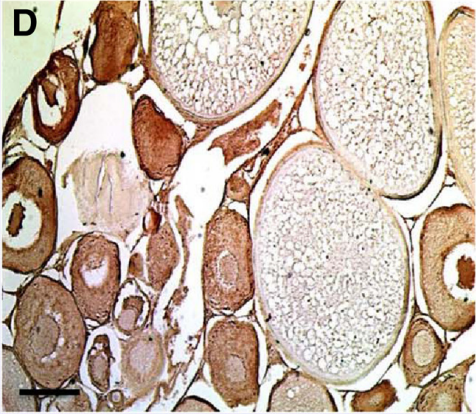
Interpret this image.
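The small and mid-sized oocytes are round to oval, with strongly brown cytoplasm around a paler central nucleus. The largest oocytes have a coarse, vacuolated, lace-like cytoplasm that is only faintly tinted. Between the oocytes lie thin strands of tissue and spaces, some also brownish. The oocytes lie closely packed, the large ones beside clusters of smaller ones.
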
